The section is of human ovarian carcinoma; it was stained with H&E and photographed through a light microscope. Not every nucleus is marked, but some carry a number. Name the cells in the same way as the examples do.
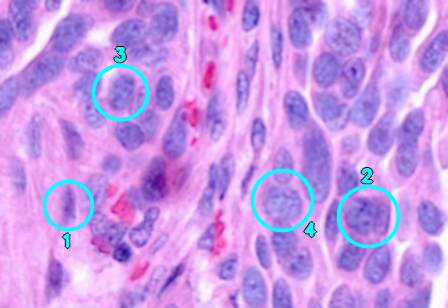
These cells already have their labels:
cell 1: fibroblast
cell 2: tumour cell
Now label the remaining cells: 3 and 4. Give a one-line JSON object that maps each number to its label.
{"3": "tumour cell", "4": "tumour cell"}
